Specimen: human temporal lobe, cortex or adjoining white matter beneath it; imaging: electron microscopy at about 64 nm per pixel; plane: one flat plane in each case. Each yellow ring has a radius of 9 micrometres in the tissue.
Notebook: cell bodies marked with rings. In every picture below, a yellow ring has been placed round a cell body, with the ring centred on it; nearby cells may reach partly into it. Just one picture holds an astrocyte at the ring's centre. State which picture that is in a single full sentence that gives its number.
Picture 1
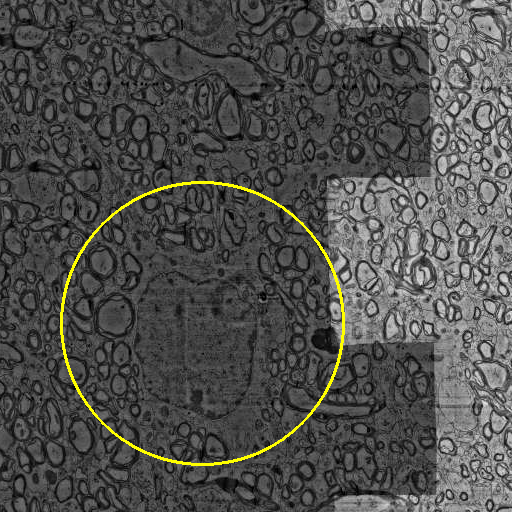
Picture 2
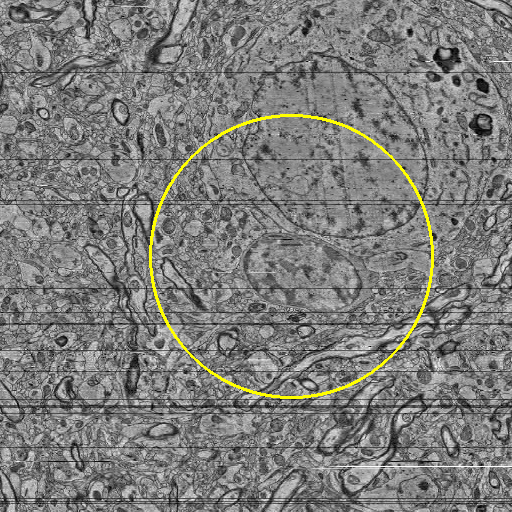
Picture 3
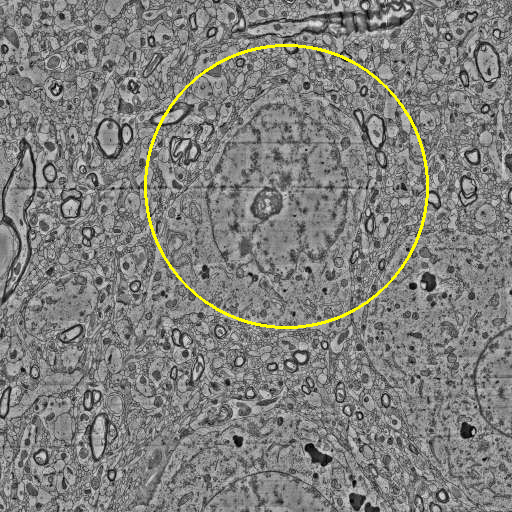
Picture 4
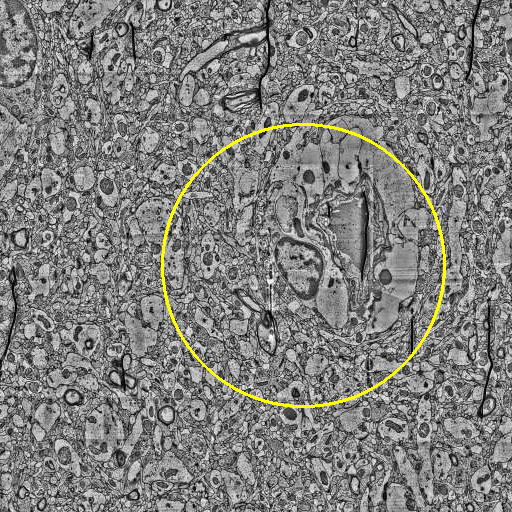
It is picture 1 whose ring has the wanted cell right at its centre.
